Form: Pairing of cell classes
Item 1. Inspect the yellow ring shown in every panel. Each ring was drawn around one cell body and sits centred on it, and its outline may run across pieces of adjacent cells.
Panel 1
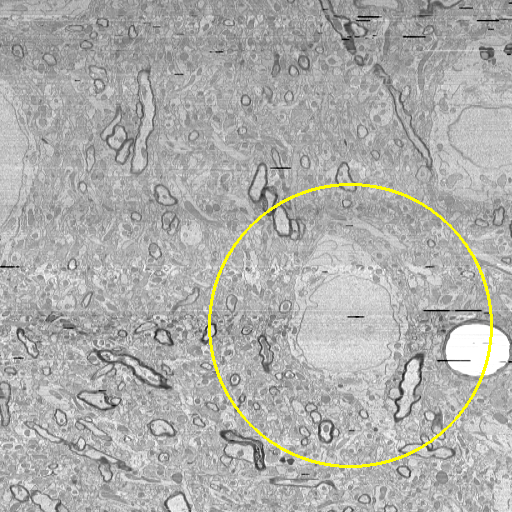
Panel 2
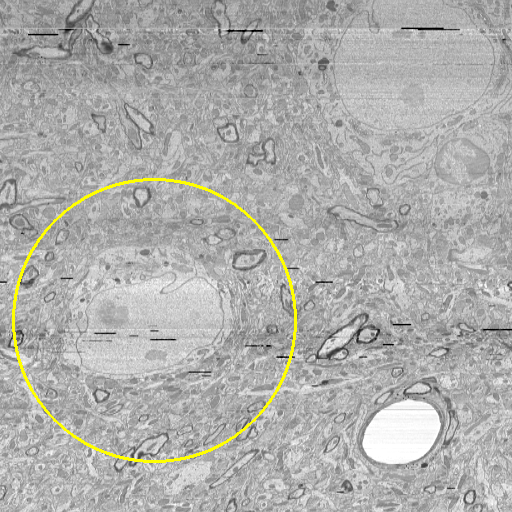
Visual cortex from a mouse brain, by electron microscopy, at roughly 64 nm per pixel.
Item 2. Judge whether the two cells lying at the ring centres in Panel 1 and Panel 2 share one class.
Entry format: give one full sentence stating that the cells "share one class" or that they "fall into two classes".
The cells at the ring centres in Panel 1 and Panel 2 share one class.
